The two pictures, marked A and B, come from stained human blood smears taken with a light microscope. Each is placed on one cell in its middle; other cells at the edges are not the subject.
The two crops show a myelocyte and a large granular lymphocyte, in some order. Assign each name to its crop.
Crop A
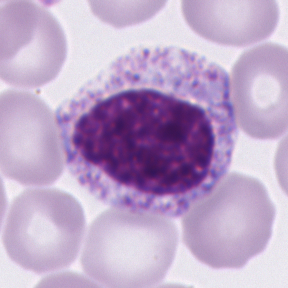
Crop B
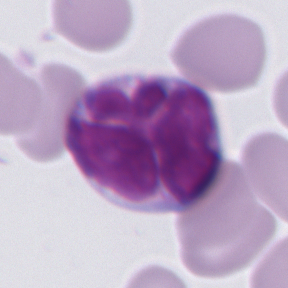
A: myelocyte
B: large granular lymphocyte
